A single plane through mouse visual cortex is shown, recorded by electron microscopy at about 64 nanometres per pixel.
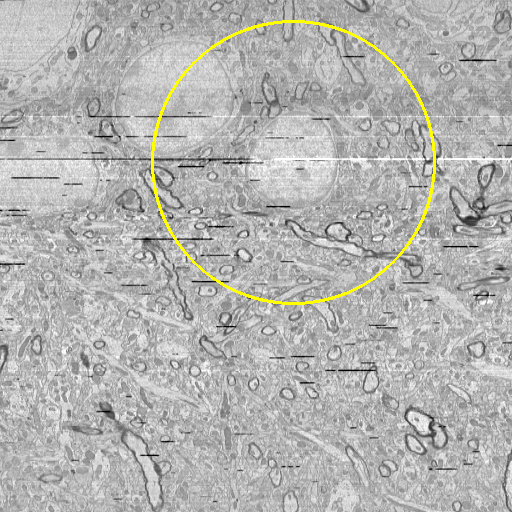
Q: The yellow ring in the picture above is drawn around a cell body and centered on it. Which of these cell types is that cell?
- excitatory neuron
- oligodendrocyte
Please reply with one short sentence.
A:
The cell body at the ring's center belongs to an oligodendrocyte.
